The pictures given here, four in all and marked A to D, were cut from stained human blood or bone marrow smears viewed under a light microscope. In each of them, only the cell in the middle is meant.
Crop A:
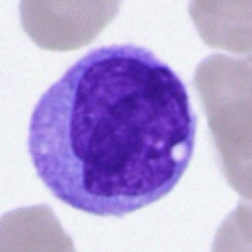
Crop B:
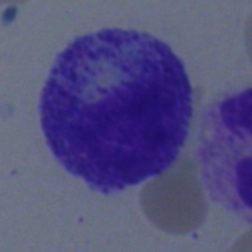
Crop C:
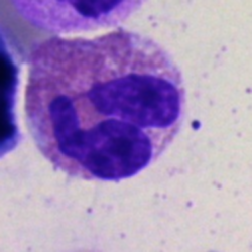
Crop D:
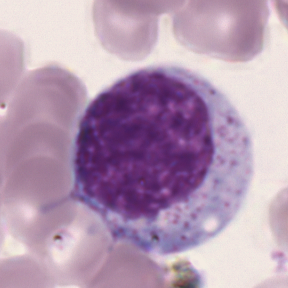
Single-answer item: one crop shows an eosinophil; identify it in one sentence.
It is the cell in crop C that is an eosinophil.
